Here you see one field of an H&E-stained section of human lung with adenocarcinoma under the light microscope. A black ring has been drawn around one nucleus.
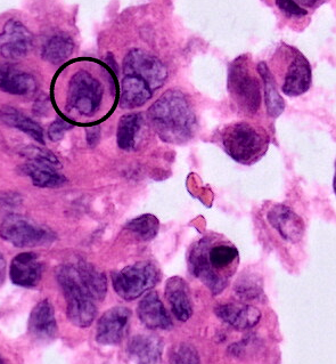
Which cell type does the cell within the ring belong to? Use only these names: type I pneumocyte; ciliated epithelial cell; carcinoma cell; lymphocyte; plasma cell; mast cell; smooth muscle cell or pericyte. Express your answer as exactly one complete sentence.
Typologically, the cell within the ring is a carcinoma cell in this section.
